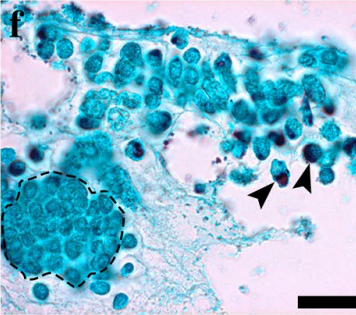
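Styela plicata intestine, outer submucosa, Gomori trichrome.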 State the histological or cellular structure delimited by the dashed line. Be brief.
Niches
